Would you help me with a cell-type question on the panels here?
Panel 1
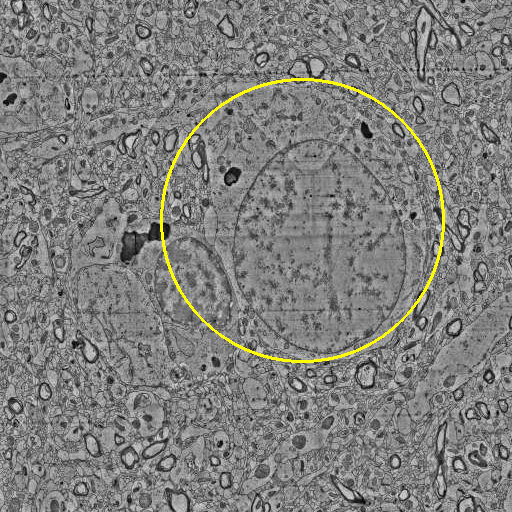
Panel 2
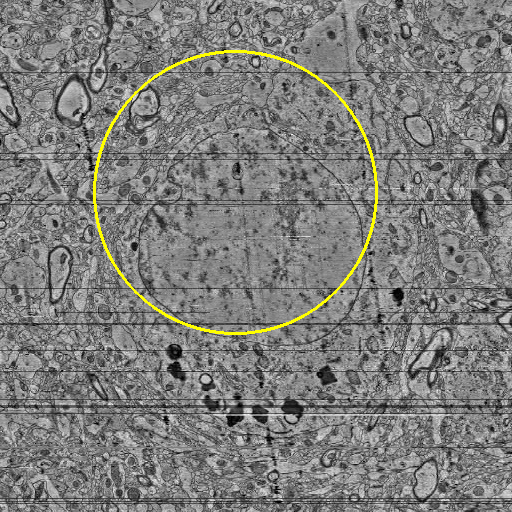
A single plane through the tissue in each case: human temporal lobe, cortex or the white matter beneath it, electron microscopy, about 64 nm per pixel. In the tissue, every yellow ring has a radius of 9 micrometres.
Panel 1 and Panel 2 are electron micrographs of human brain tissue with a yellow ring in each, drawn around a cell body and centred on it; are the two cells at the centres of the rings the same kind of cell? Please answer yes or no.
yes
